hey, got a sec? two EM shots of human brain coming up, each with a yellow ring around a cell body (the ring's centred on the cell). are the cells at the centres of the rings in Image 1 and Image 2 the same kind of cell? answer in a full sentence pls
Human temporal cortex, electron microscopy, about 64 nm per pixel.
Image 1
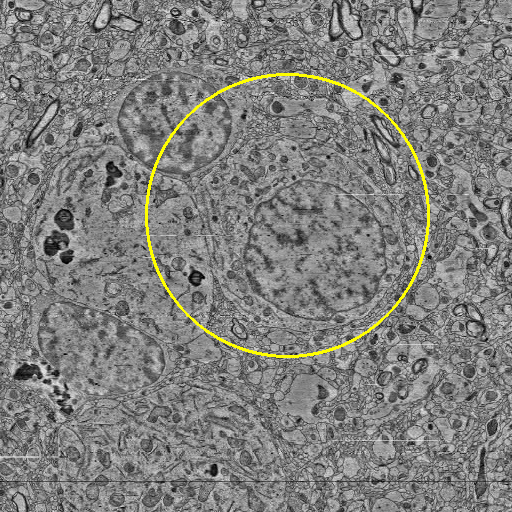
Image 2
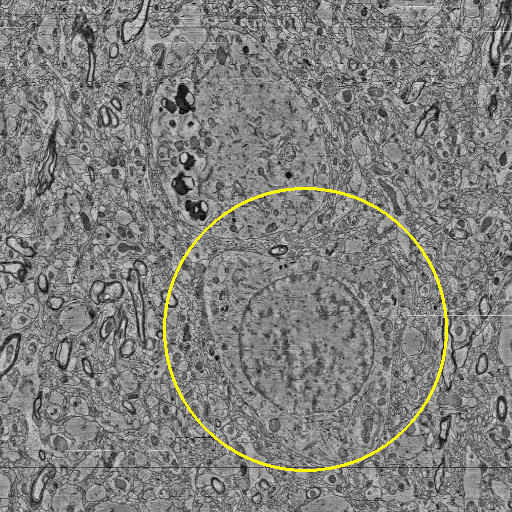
Yes, both are the same kind of cell.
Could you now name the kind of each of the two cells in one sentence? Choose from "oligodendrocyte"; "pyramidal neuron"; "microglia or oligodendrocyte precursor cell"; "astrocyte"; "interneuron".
Each cell, in the first picture and the second, is an interneuron.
